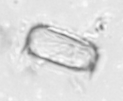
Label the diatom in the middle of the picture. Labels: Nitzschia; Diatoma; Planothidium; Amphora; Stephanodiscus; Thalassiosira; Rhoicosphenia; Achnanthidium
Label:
Stephanodiscus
